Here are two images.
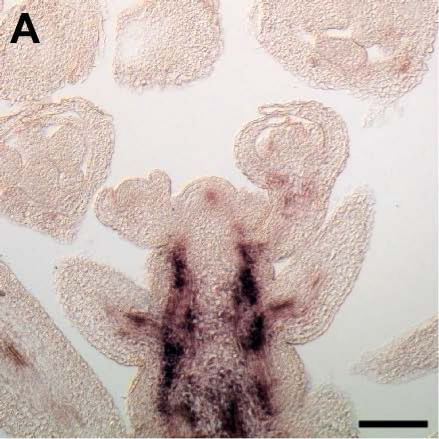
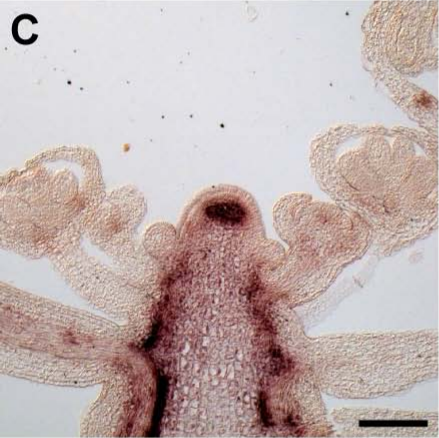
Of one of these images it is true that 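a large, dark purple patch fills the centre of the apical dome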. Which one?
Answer: The second image.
